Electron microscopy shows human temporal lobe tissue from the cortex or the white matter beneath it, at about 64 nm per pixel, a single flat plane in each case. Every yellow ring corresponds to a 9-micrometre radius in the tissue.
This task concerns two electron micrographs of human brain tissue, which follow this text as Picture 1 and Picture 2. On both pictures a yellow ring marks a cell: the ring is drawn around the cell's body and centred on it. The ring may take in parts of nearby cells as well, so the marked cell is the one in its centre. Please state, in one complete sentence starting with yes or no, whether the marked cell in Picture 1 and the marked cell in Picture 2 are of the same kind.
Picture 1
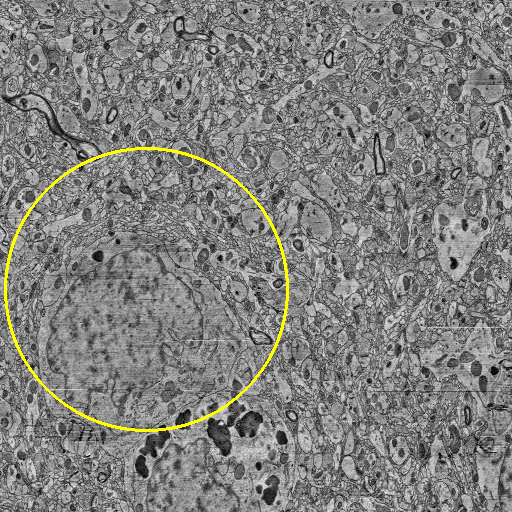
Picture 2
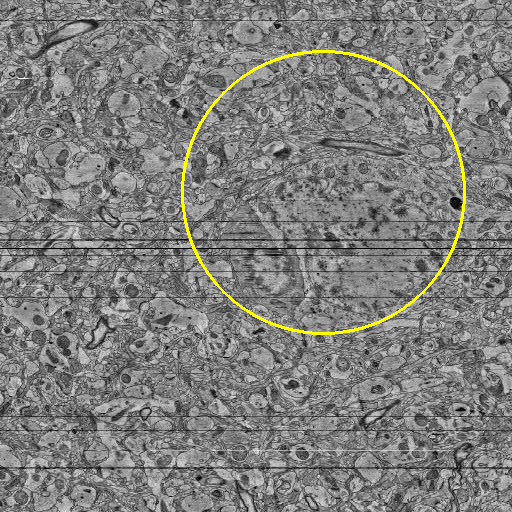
Yes, the marked cells in both pictures are of the same kind.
